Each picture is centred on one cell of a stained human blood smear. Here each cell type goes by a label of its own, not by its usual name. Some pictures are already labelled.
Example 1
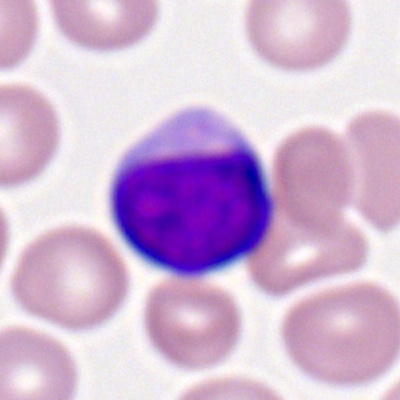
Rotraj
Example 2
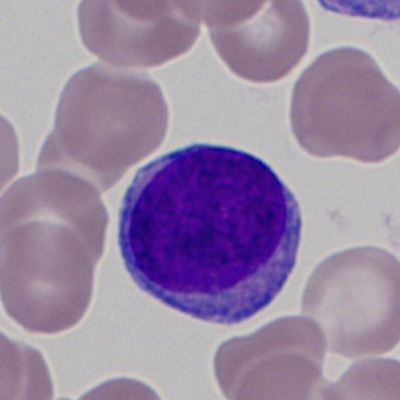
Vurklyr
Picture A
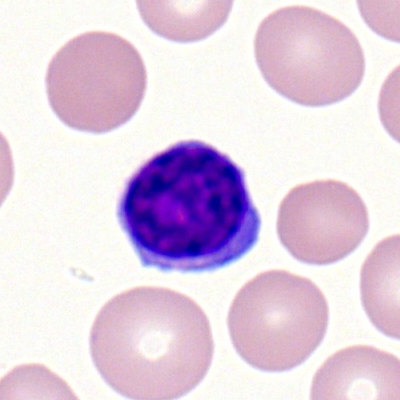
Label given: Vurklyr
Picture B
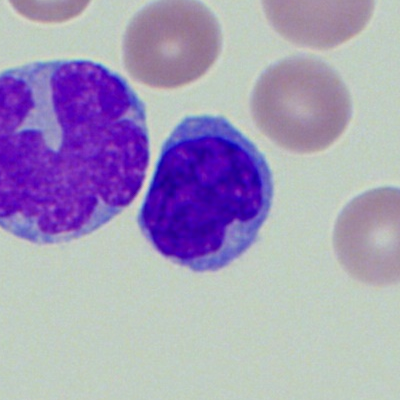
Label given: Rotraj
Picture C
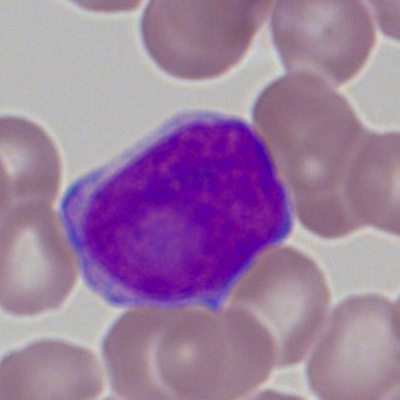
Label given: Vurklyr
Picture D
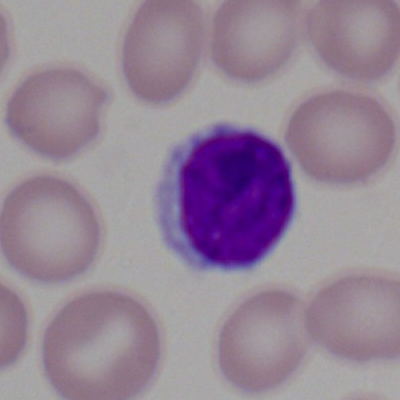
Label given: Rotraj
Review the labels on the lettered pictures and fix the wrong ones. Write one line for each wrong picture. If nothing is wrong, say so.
A: change Vurklyr to Rotraj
